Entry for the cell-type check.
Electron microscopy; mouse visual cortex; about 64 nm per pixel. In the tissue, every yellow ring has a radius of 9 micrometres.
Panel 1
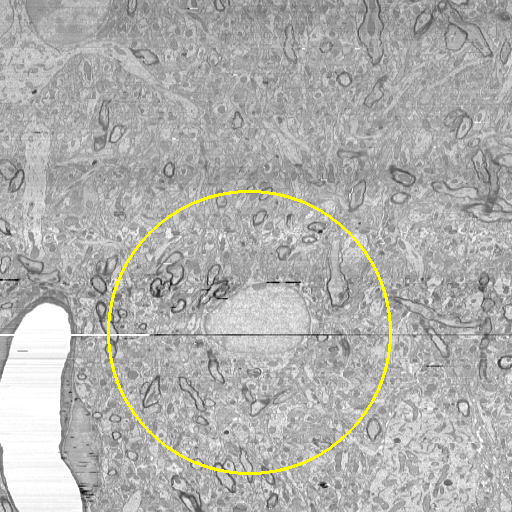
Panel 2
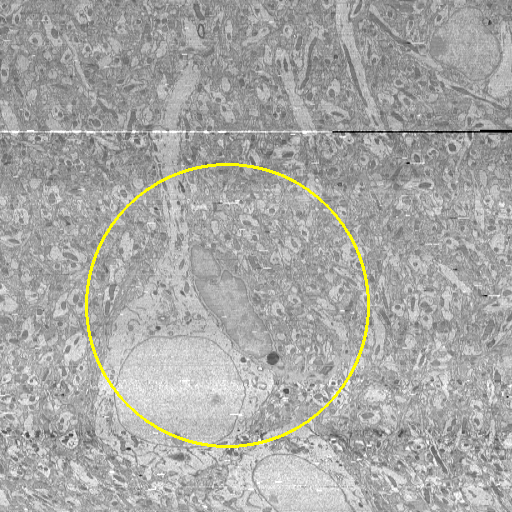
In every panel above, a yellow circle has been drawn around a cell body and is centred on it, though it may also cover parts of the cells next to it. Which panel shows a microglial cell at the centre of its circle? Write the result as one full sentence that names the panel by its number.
Panel 2 shows it at the centre of its circle.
